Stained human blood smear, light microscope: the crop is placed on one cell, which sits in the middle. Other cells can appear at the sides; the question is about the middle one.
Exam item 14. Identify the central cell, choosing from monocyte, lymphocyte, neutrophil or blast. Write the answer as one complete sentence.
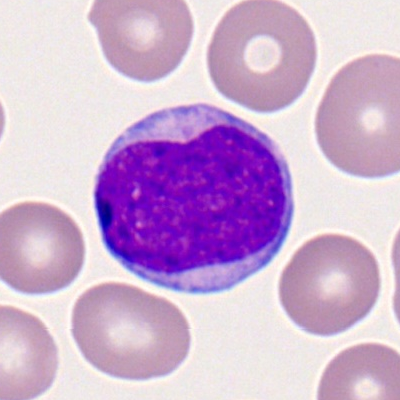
Where the crop is centred, there is a blast.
